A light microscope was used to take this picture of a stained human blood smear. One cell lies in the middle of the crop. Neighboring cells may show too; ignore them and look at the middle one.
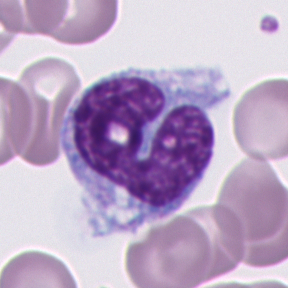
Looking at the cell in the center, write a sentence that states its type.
The cell at the middle of the frame should be recorded as a monocyte.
